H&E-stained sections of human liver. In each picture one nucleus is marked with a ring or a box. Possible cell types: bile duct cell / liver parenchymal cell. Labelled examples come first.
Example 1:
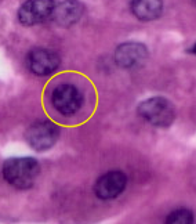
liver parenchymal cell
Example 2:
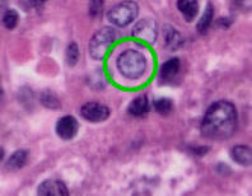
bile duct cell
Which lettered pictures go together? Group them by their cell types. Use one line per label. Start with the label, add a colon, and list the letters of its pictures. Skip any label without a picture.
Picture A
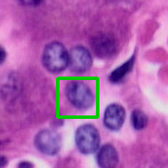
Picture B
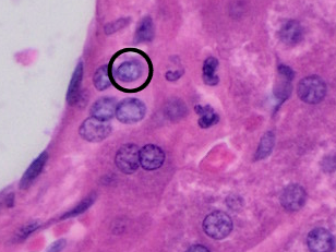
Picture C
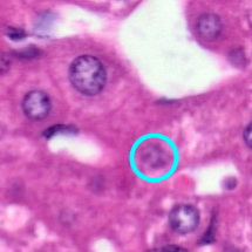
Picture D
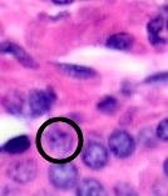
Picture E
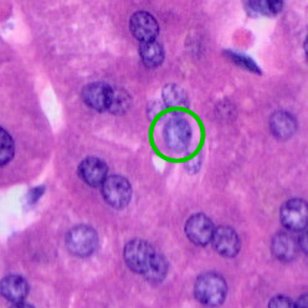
bile duct cell: A, B, D, E
liver parenchymal cell: C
